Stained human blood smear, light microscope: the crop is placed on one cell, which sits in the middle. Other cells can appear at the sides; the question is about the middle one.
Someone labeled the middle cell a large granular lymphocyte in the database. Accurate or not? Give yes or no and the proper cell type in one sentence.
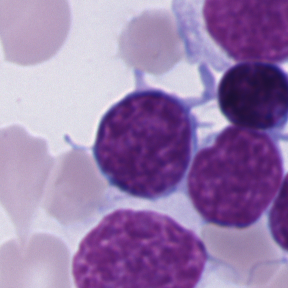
No, the central cell qualifies as a blast rather than as a large granular lymphocyte.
